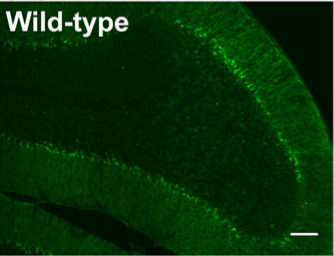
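A thin line of bright green dots, their cell bodies, runs along the curving border at the level of the Purkinje cell layer. Outside this line the molecular layer is only faintly green, with delicate radial streaks. Inside it the granular layer forms a dark core with scattered faint specks. The folds of neighbouring folia appear at the lower part of the field.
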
